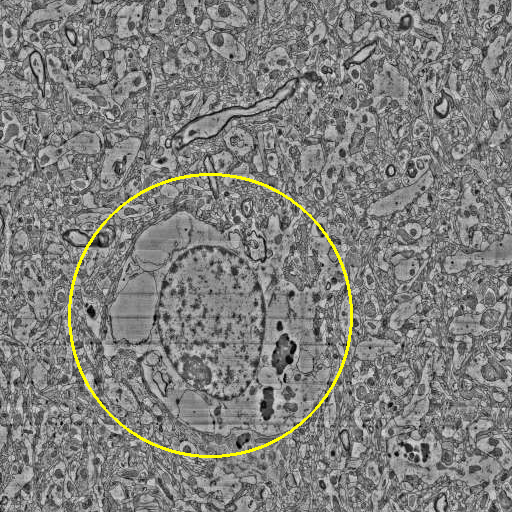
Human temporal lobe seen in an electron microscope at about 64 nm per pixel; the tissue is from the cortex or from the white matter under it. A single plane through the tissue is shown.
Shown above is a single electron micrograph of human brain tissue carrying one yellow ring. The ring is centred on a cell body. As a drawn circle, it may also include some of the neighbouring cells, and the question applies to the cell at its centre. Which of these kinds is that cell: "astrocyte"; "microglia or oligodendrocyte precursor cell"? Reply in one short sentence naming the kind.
The cell marked by the ring is an astrocyte.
